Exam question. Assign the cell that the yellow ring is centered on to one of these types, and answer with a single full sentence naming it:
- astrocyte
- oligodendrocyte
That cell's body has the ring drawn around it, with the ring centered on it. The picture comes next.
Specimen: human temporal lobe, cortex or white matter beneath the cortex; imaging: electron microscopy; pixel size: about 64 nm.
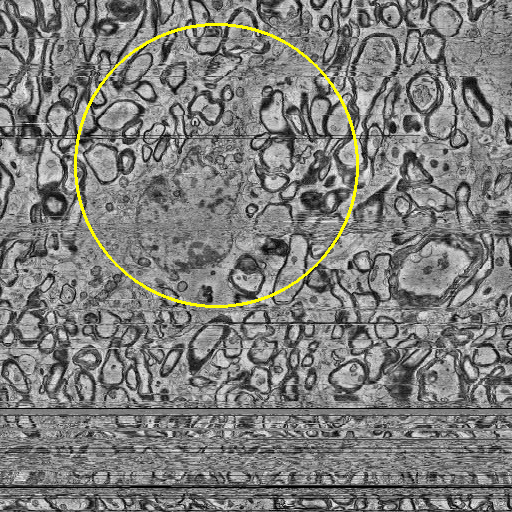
In the micrograph, the cell the yellow ring is centered on is an astrocyte.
